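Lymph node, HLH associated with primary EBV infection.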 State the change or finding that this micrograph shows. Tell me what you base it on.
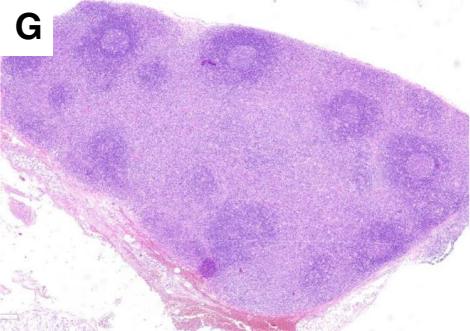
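Rounded follicles line the periphery of the node. A wide pale zone of cells lies between and beneath the follicles. On this evidence: paracortical expansion.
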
